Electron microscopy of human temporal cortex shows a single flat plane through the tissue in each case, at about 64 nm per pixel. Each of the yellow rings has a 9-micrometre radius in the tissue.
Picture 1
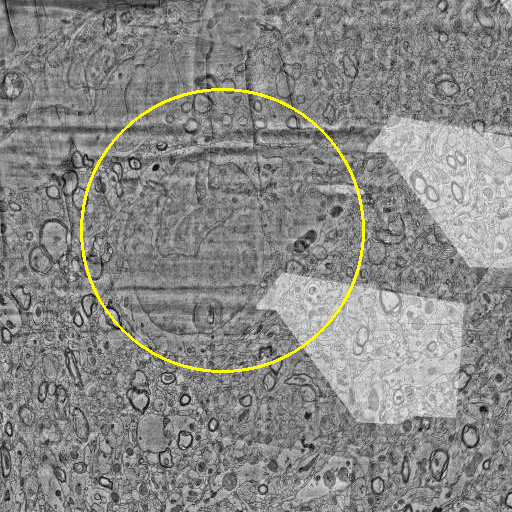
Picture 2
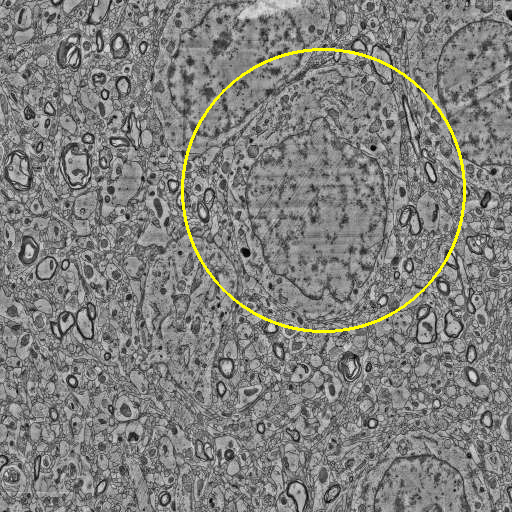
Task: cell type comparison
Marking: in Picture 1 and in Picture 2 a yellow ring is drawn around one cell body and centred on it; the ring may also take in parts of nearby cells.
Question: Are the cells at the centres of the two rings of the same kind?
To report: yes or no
yes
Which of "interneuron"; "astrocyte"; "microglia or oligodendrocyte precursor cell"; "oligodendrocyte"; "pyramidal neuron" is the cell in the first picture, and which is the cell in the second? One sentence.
Both rings mark a pyramidal neuron, one in each picture.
